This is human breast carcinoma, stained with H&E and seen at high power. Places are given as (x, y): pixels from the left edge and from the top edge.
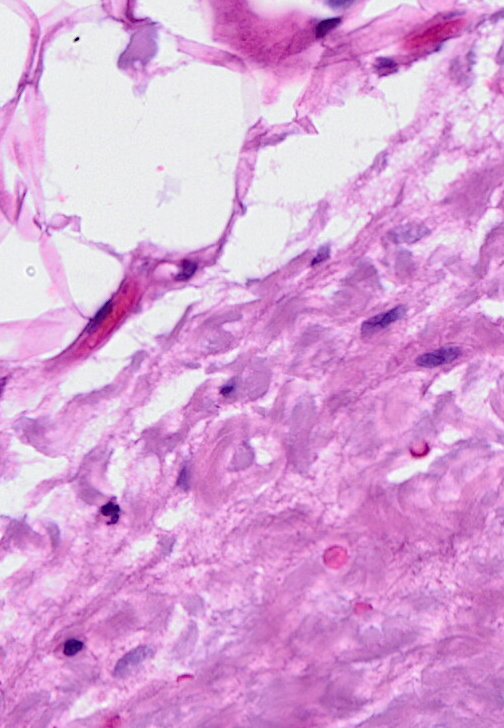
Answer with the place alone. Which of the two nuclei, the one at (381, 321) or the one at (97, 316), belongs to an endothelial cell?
(97, 316)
